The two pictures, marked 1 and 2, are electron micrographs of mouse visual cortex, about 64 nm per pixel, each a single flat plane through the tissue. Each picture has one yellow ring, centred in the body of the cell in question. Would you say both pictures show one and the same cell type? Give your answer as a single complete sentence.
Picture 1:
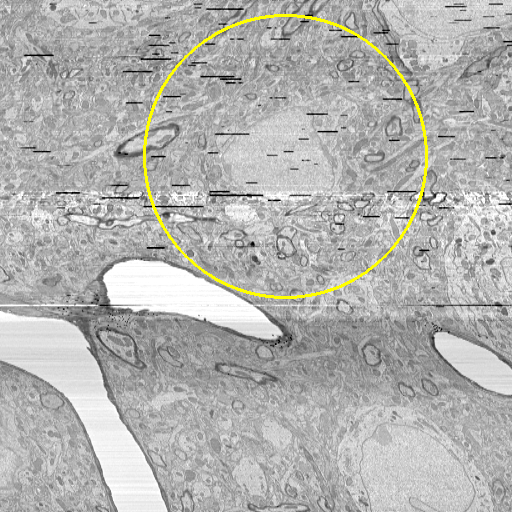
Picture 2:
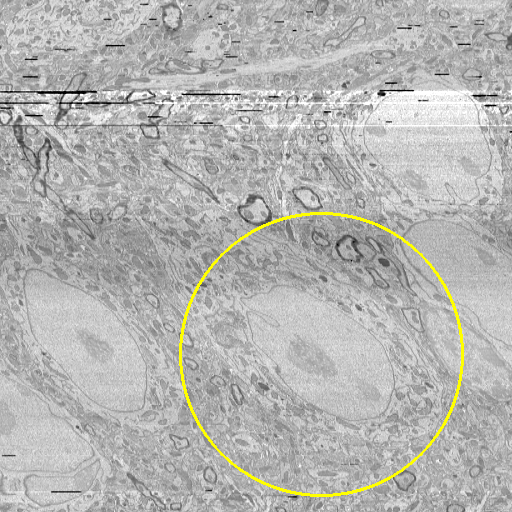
No, they differ: the cell is an astrocyte in picture 1 and an inhibitory neuron in picture 2.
